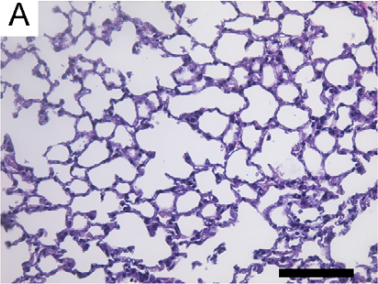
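Numerous rounded and polygonal air spaces, left white and empty, are separated by very thin alveolar walls that stain pale purple. The walls join into a fine, lace-like network, and small dark purple nuclei sit scattered along them, belonging to the cells lining the air spaces and the capillaries within the septa. Some larger spaces, such as alveolar ducts, open among the smaller alveoli.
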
